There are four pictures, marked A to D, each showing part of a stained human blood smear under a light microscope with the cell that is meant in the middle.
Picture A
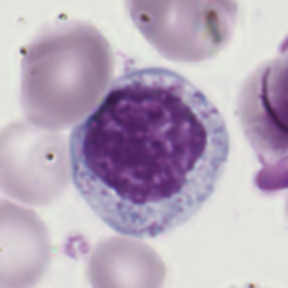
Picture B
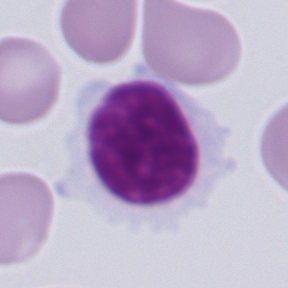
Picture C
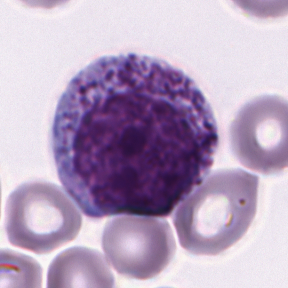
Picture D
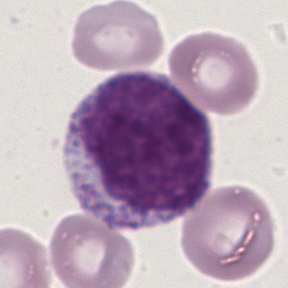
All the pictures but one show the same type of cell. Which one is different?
B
